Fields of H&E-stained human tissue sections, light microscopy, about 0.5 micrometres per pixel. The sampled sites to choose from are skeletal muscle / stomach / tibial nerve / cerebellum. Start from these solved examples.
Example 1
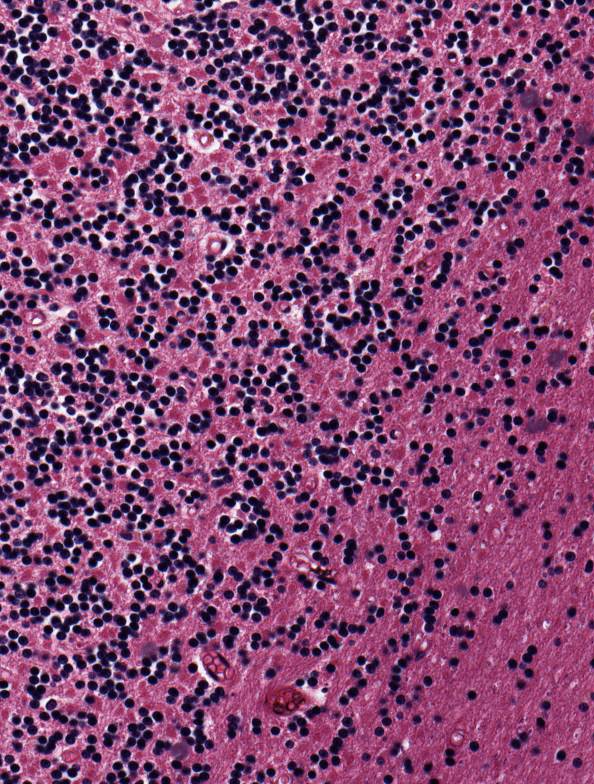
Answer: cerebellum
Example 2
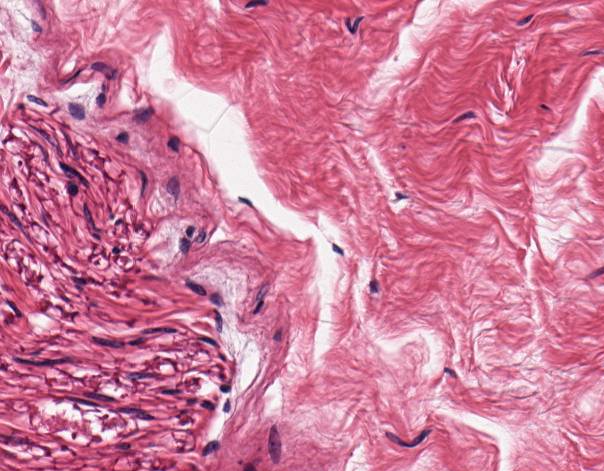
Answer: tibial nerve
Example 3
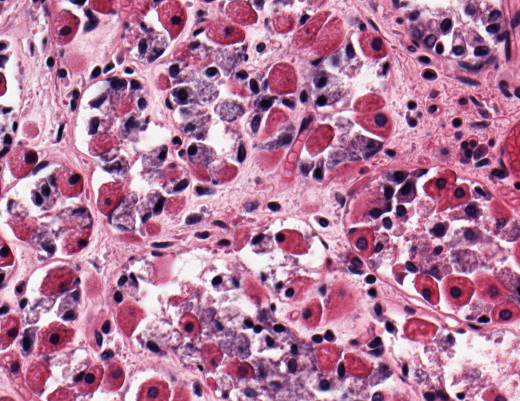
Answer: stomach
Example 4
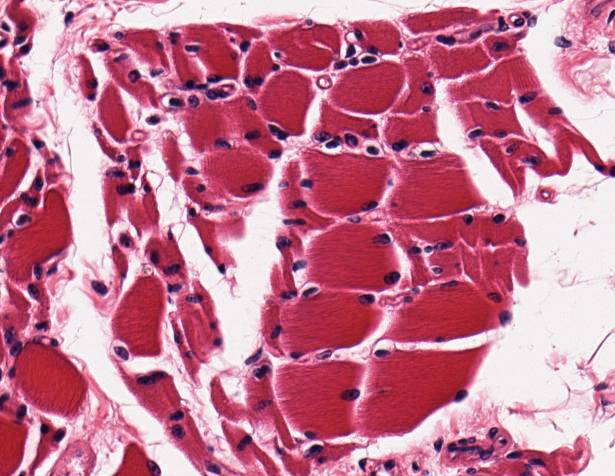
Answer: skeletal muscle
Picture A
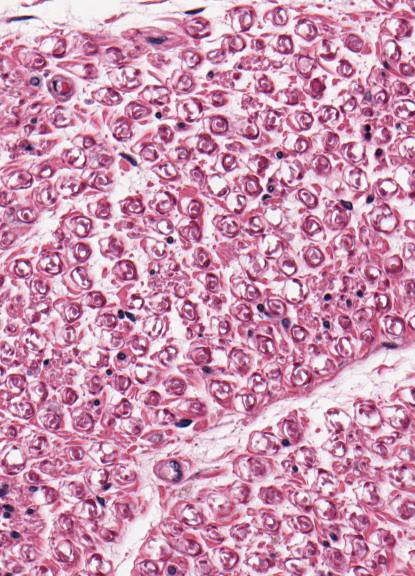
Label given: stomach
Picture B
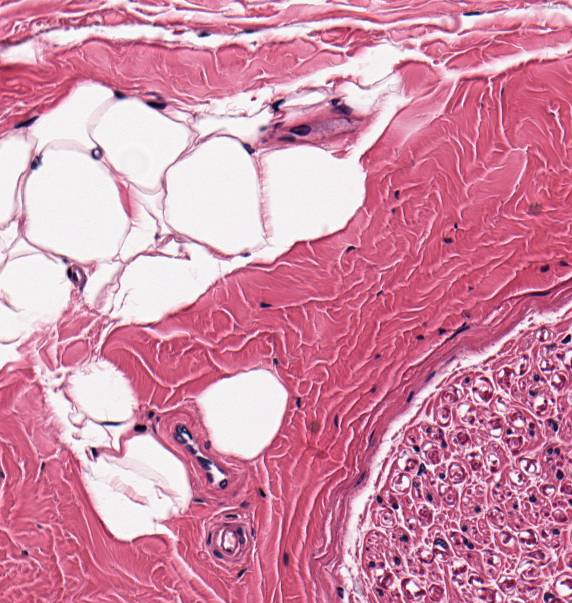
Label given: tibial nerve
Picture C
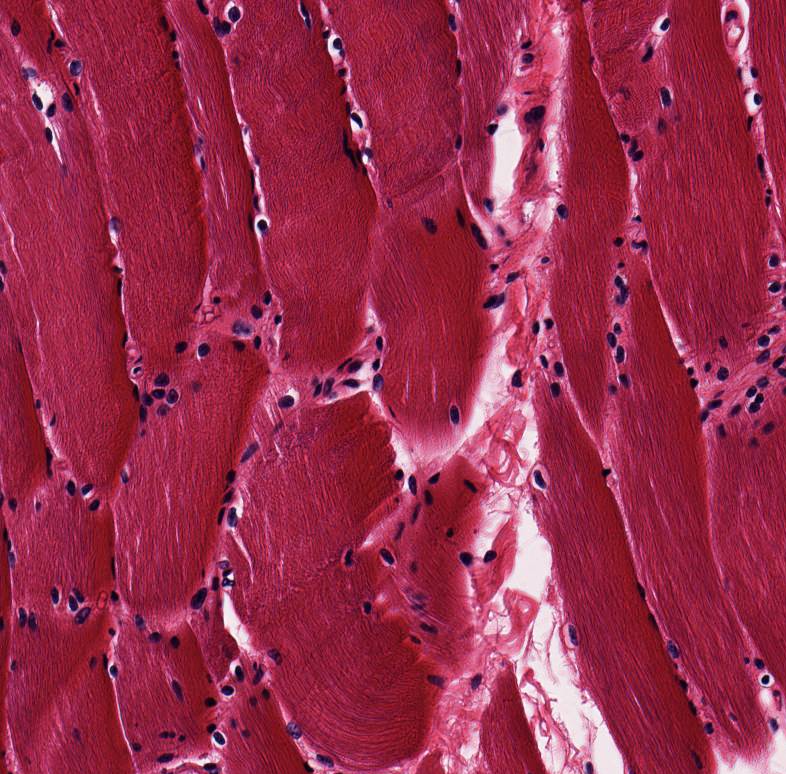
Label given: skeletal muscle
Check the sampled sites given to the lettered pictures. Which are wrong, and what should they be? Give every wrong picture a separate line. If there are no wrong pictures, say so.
Wrong: A (stomach); correct: tibial nerve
